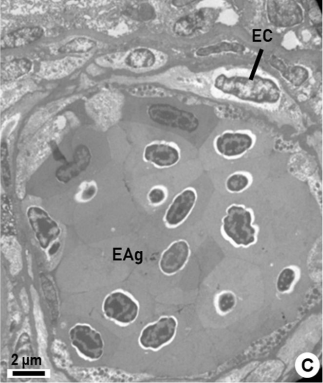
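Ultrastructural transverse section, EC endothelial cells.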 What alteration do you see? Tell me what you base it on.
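The vessel interior is filled with tightly packed polygonal cells with dense nuclei. No open lumen space is left between the packed cells. The answer: lumen completely occluded.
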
